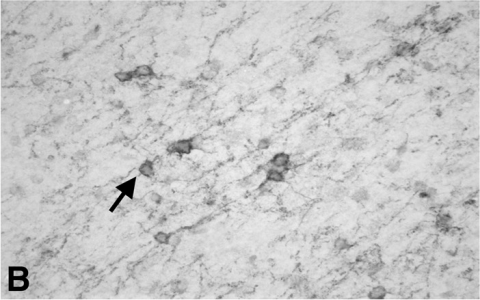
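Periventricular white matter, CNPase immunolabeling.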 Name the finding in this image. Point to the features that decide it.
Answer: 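Stunted processes. Labeled processes are short and fragmented rather than long continuous fibers. Labeled cell bodies are fewer than in a dense network.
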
